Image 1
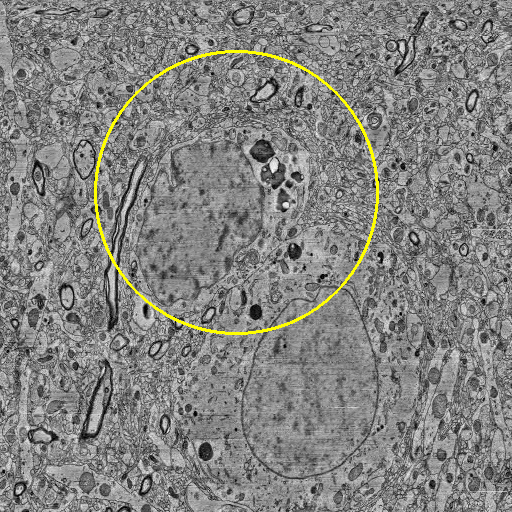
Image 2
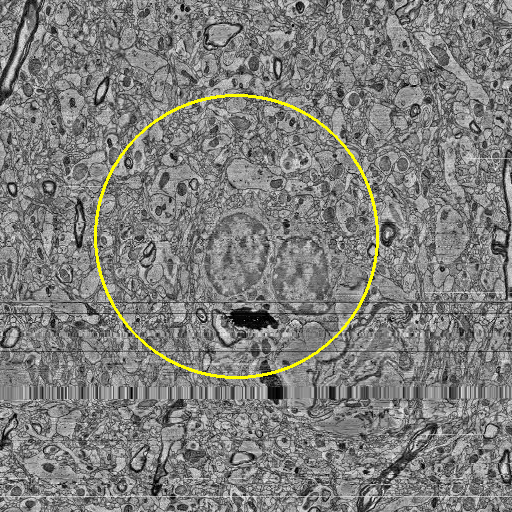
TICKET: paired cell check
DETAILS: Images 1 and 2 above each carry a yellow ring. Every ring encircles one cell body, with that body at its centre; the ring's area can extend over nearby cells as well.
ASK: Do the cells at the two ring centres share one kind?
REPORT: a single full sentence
No, the ring-centre cells of Images 1 and 2 belong to two kinds.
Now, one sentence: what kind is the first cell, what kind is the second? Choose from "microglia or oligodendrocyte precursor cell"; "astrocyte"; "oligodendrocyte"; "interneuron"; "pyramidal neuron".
The first picture has an interneuron at its ring centre, and the second has an oligodendrocyte.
